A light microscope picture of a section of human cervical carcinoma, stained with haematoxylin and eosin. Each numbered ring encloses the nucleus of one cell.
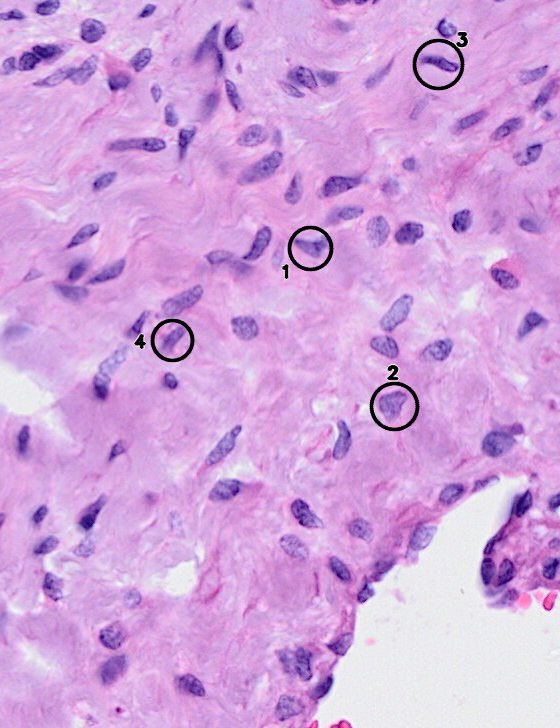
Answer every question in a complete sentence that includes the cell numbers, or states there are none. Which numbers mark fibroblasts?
The cells referred to by the numbers 1, 2 and 3 are fibroblasts.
